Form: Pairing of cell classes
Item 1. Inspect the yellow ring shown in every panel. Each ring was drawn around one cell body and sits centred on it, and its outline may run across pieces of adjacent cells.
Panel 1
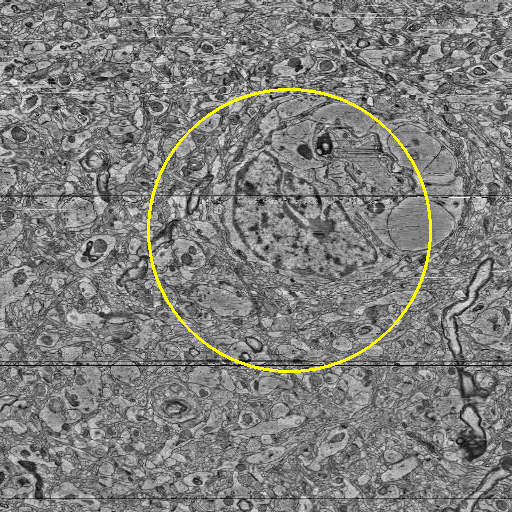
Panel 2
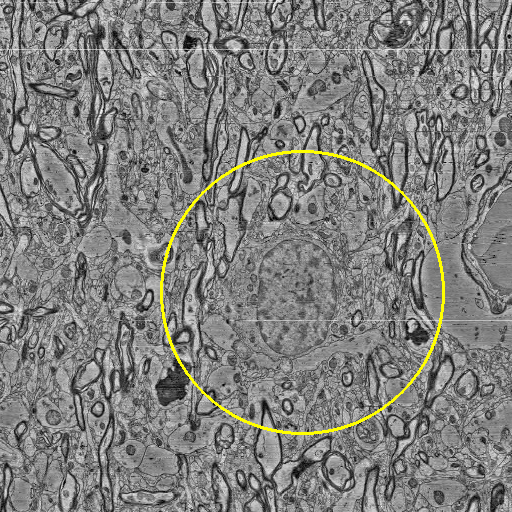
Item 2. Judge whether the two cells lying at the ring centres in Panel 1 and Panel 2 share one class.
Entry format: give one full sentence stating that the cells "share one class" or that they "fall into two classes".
The cells at the ring centres in Panel 1 and Panel 2 fall into two classes.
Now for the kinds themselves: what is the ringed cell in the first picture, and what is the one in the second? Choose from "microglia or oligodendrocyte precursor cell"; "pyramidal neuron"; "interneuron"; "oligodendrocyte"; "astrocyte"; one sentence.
Here the first cell is a microglial cell or oligodendrocyte precursor cell and the second cell is an oligodendrocyte.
